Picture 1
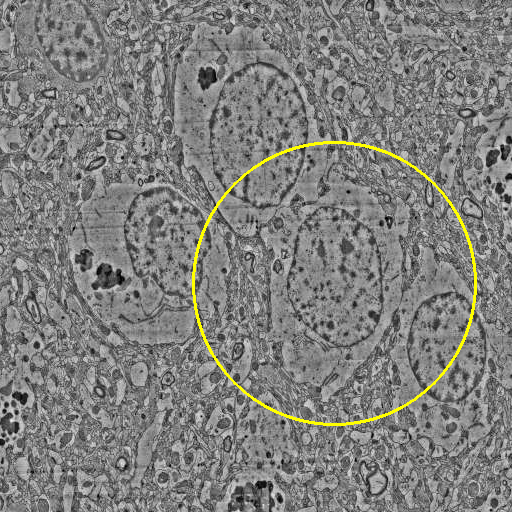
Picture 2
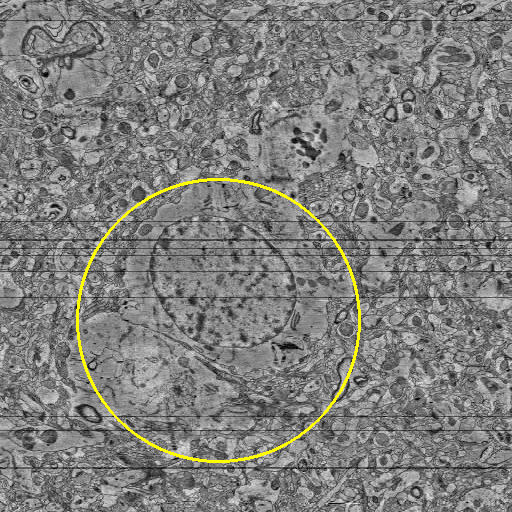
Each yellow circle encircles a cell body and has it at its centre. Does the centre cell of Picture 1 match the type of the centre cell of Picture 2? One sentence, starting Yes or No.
Yes, the cell centred in Picture 1 and the one in Picture 2 share a type.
